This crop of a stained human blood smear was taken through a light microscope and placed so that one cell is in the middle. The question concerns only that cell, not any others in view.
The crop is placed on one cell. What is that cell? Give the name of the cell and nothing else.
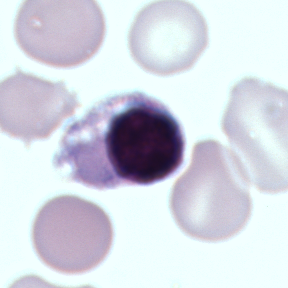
normoblast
